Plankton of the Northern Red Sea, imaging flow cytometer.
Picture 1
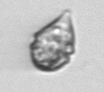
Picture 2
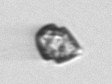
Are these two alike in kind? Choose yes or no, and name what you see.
Yes. Scrippsiella.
